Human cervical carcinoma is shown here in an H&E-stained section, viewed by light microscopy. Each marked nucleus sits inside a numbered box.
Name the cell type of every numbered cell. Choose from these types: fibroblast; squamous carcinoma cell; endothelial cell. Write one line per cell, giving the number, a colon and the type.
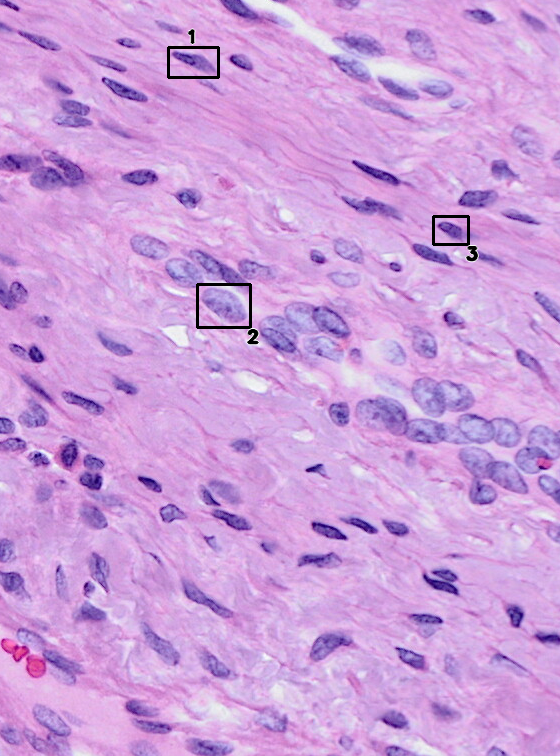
1: fibroblast
2: endothelial cell
3: fibroblast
